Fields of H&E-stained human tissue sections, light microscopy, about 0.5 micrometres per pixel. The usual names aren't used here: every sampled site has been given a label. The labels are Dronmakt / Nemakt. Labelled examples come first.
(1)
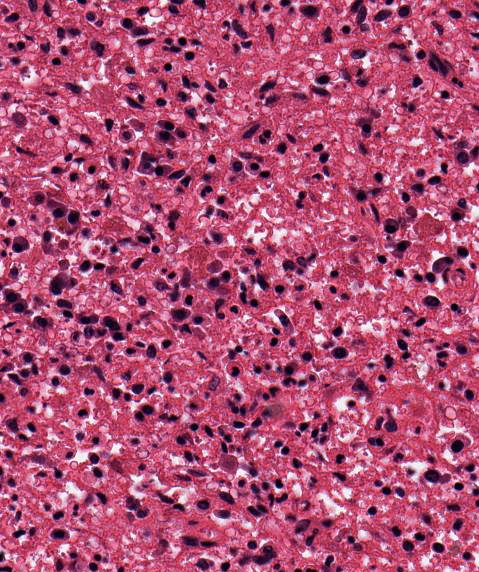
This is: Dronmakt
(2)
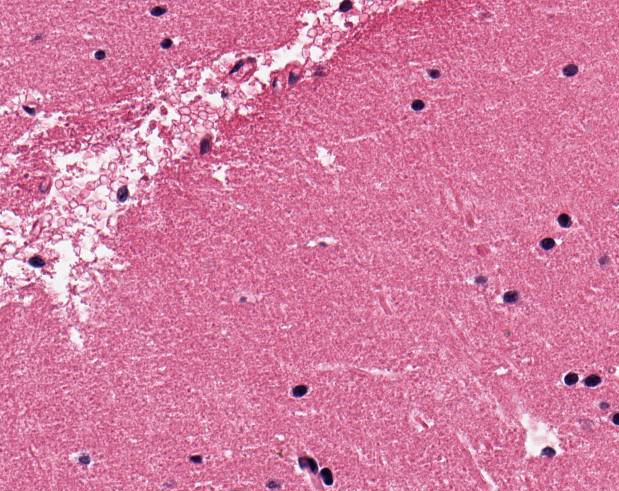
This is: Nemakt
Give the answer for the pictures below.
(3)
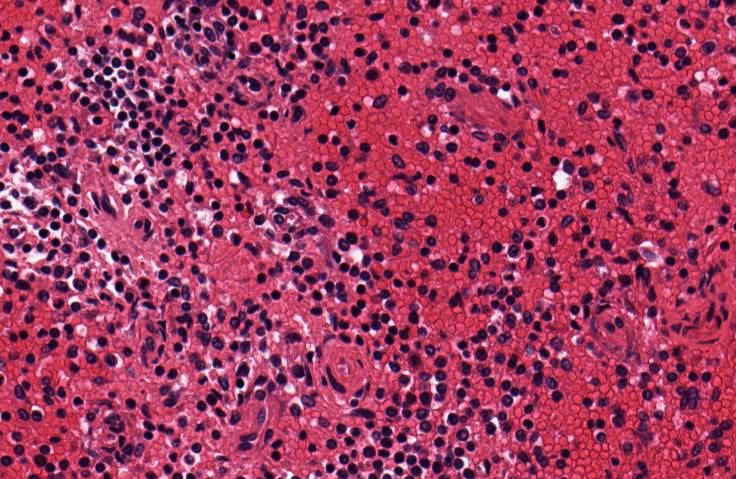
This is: Dronmakt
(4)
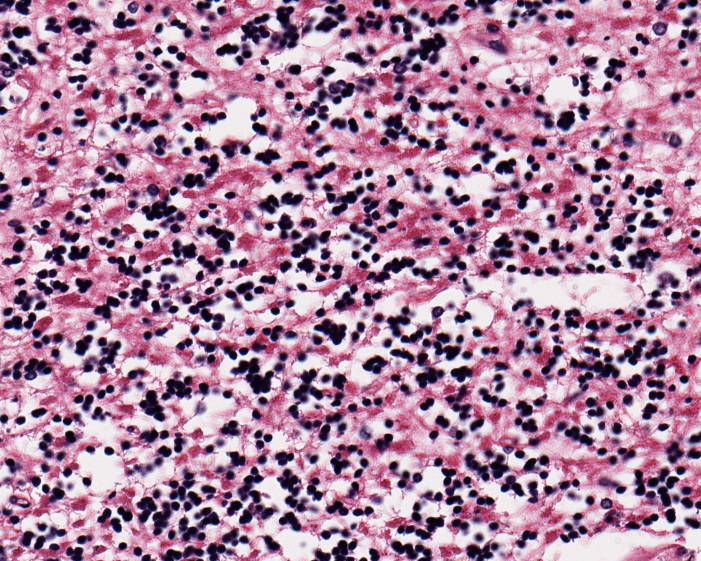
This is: Nemakt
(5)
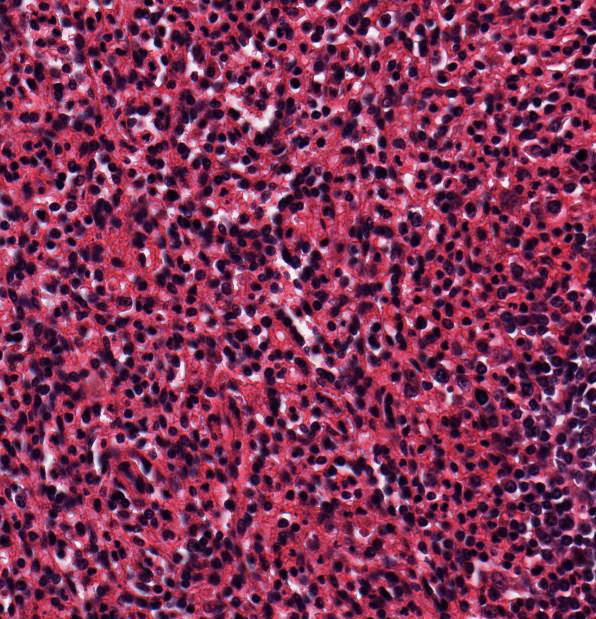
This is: Dronmakt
